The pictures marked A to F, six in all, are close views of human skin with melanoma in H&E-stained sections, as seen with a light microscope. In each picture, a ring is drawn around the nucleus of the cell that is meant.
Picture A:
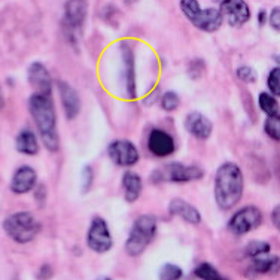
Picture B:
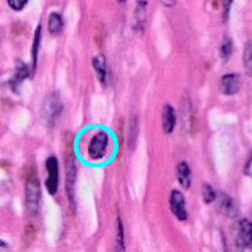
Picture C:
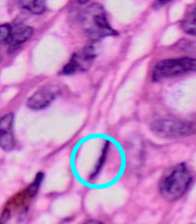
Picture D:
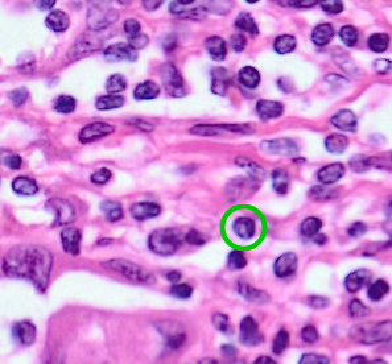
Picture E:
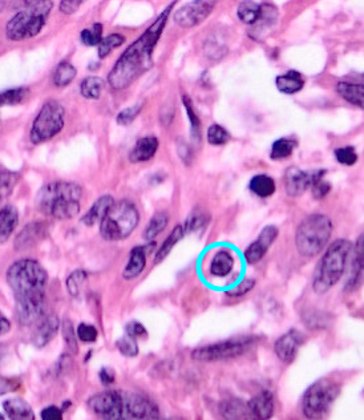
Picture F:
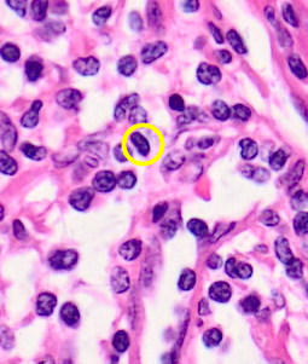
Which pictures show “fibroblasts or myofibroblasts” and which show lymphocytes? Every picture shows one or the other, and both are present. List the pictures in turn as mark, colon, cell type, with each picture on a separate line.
A: fibroblast or myofibroblast
B: lymphocyte
C: fibroblast or myofibroblast
D: lymphocyte
E: lymphocyte
F: lymphocyte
